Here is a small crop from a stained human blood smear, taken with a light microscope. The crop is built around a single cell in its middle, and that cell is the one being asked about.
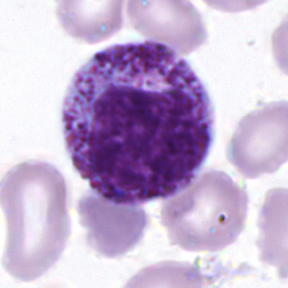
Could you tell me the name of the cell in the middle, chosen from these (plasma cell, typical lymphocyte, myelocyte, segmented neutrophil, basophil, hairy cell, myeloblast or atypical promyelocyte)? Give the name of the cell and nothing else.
myelocyte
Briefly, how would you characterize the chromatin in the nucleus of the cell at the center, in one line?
Thanks for asking; the chromatin is coarsely clumped.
